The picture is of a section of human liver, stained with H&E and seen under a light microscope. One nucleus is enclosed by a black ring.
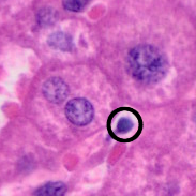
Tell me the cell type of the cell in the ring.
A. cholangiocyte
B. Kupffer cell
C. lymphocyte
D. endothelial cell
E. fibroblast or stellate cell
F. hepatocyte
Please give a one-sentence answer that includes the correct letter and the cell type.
According to option C, the cell in the ring is a lymphocyte, and this is correct.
